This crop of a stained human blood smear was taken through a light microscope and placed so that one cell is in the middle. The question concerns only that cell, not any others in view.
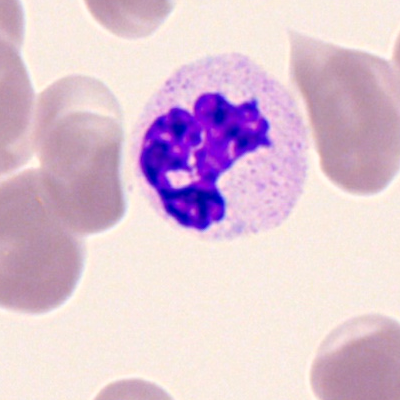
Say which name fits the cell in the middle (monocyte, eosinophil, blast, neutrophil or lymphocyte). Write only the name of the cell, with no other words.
neutrophil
